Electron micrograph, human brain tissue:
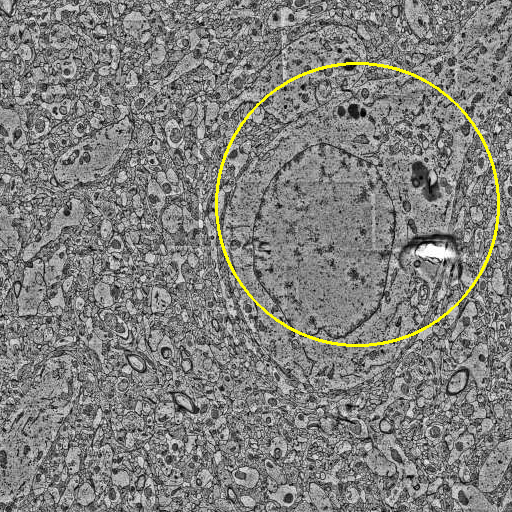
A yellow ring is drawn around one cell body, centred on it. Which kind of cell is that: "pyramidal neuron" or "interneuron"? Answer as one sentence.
It is a pyramidal neuron at the centre of the ring.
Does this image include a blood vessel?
No.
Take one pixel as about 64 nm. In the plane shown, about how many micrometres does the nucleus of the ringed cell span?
The nucleus of the ringed cell is approximately 12 by 10 micrometres in this plane.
